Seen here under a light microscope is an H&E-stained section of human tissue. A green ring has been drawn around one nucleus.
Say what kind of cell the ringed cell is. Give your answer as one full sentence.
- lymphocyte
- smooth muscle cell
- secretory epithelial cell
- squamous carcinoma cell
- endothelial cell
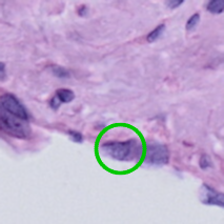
With respect to cell type, the ringed cell is an endothelial cell.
